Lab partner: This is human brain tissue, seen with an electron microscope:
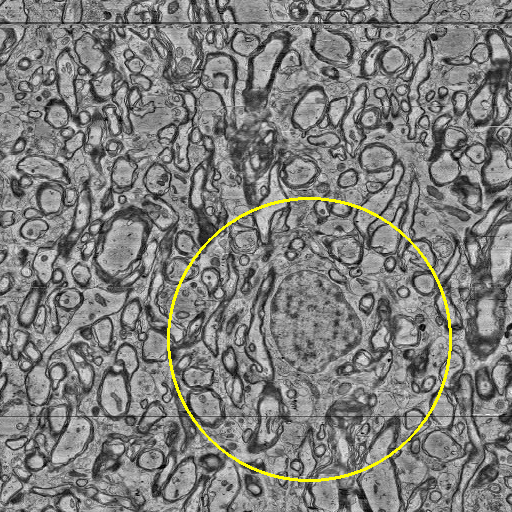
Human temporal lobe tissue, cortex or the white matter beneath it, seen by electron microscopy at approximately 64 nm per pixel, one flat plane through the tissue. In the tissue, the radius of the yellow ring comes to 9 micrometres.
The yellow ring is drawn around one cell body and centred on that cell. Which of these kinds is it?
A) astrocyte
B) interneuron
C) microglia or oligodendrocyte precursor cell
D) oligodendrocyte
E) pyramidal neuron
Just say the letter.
C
